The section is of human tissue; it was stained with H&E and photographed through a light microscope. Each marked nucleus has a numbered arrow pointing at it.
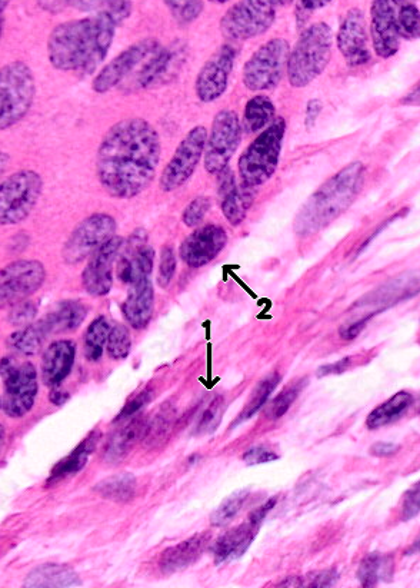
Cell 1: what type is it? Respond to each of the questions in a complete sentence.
The one labeled 1 is a fibroblast, to put it simply.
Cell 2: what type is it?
The cell to which the number 2 is assigned is a squamous carcinoma cell.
